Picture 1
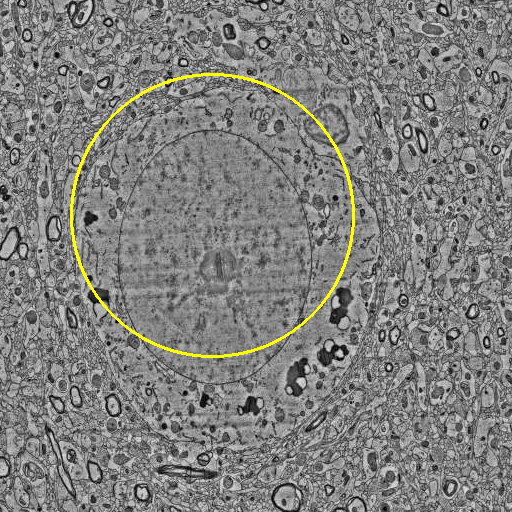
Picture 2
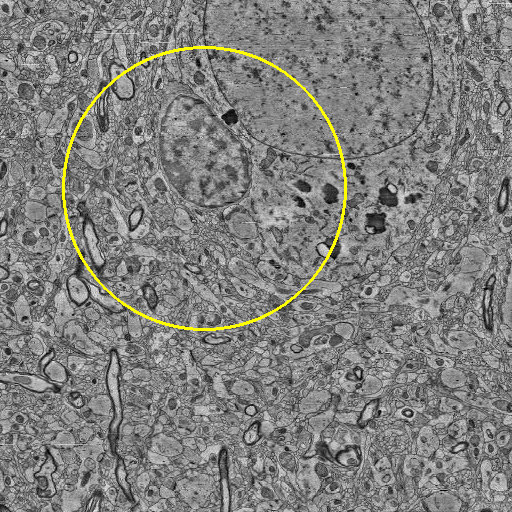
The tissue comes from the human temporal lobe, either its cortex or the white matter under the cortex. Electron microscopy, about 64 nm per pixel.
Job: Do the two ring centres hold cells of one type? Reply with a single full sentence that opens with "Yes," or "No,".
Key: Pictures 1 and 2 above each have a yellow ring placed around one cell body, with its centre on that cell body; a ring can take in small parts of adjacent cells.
No, the cells at the two ring centres are of two separate types.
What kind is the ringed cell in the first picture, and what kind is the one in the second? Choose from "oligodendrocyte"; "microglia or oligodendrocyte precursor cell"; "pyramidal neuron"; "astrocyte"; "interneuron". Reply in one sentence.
The first cell is a pyramidal neuron; the second is an oligodendrocyte.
